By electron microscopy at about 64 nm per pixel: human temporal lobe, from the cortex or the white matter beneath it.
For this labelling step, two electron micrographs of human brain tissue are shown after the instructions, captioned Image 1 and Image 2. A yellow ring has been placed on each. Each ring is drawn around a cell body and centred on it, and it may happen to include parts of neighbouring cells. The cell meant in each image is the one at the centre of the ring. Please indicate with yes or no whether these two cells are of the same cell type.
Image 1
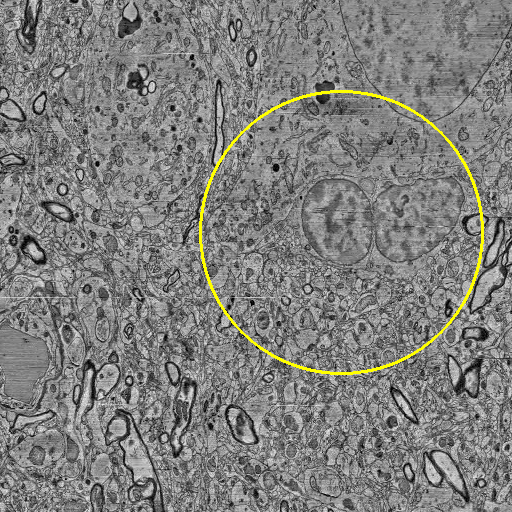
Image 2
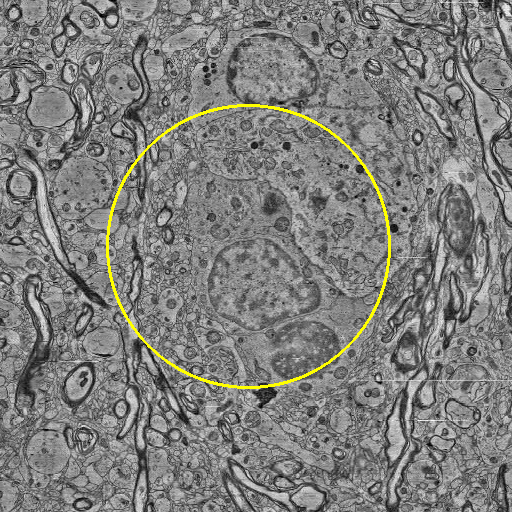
yes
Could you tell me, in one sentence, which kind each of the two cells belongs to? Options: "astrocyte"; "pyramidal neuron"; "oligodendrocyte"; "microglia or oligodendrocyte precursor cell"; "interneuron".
The first and the second cell are each an oligodendrocyte.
